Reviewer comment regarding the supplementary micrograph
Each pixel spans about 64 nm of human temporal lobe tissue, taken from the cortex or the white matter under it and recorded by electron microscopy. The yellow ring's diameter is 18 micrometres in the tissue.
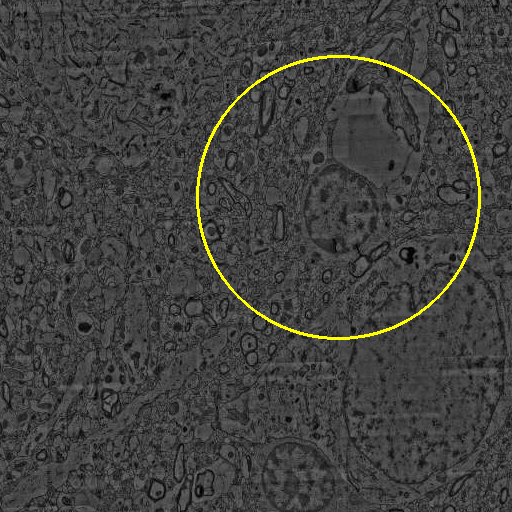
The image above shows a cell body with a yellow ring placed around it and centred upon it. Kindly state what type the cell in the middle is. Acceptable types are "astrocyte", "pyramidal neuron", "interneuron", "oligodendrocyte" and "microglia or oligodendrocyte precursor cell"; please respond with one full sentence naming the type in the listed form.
In the image above, the cell on which the yellow ring is centred is an oligodendrocyte.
